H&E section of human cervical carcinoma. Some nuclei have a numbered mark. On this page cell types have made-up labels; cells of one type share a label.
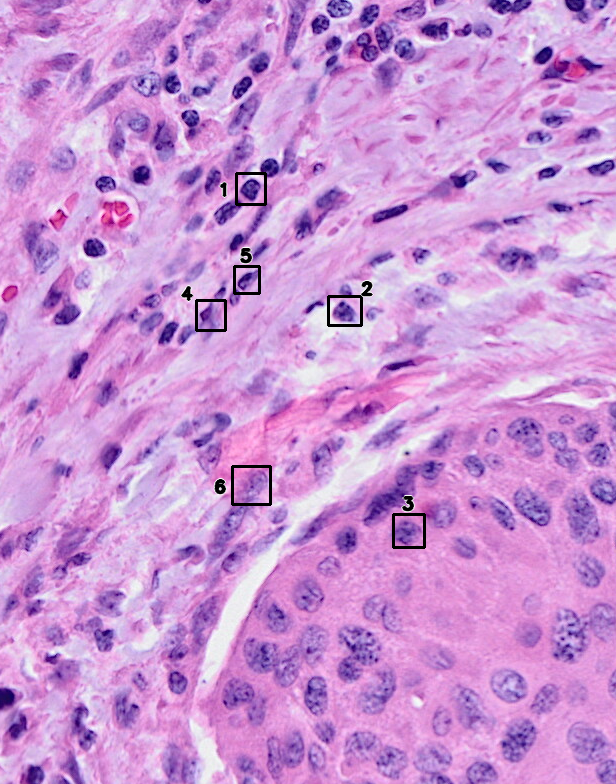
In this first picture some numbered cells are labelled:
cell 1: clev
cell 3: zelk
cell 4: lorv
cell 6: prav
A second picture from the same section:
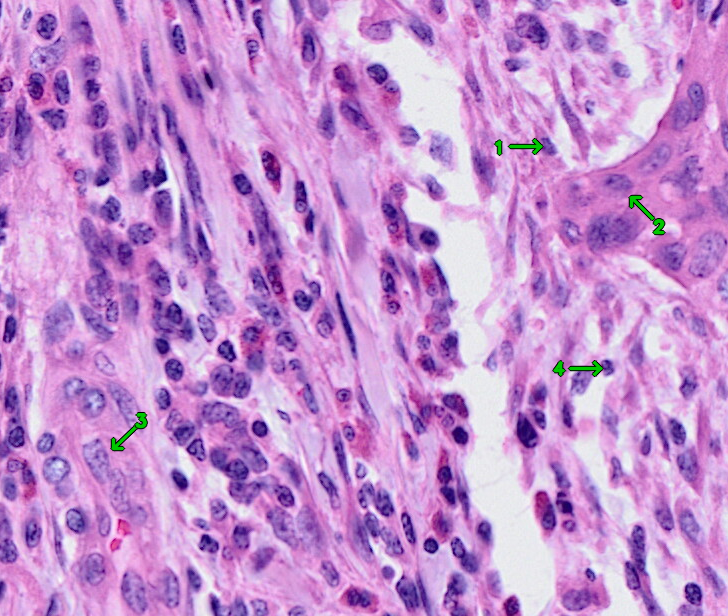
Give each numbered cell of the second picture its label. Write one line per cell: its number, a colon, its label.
1: lorv
2: zelk
3: prav
4: clev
